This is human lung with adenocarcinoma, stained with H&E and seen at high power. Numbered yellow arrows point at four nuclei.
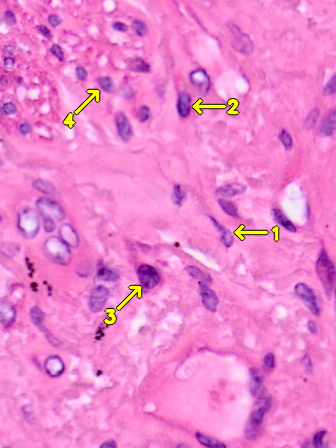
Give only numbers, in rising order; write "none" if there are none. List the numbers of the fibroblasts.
1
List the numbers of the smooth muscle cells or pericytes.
4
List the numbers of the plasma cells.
3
